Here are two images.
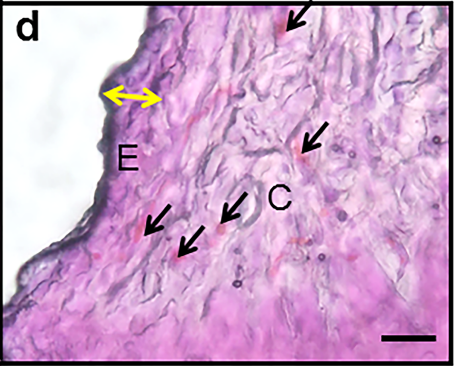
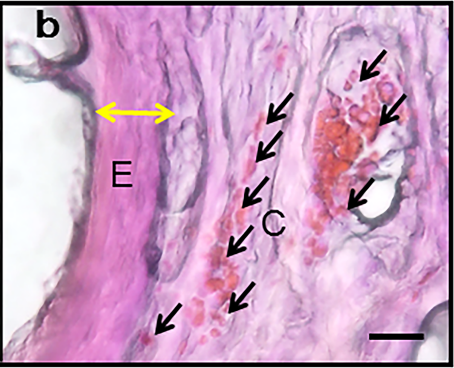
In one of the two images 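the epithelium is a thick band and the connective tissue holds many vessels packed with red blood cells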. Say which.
The second image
